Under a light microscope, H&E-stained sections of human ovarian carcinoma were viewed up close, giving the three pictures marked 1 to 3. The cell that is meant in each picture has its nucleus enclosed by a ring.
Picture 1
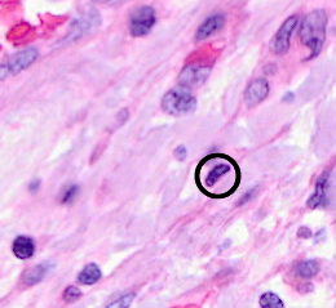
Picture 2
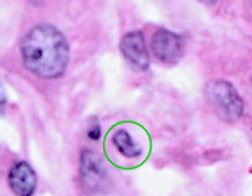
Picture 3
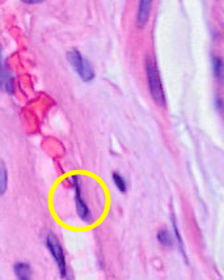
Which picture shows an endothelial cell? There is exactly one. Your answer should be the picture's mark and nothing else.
3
